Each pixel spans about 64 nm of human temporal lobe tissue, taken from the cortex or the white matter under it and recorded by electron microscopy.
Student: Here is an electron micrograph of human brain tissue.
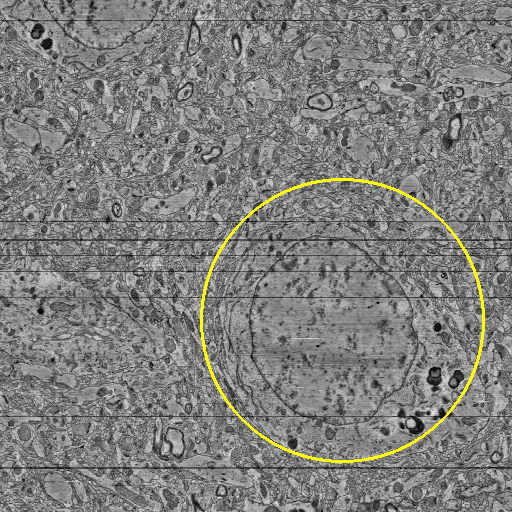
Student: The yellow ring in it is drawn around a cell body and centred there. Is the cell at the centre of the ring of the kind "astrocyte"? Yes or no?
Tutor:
no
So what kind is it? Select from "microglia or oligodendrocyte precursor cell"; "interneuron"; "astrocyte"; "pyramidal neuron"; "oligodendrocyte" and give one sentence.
Sitting at the ring centre is a pyramidal neuron.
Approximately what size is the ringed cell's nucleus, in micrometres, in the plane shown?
The nucleus works out at approximately 13 by 10 micrometres in this plane.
